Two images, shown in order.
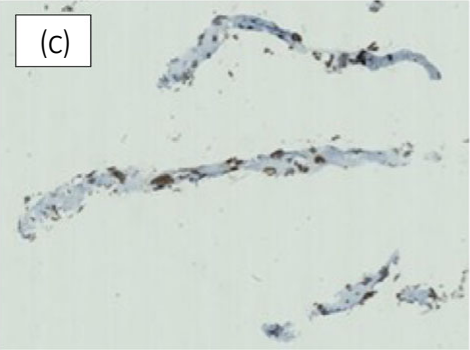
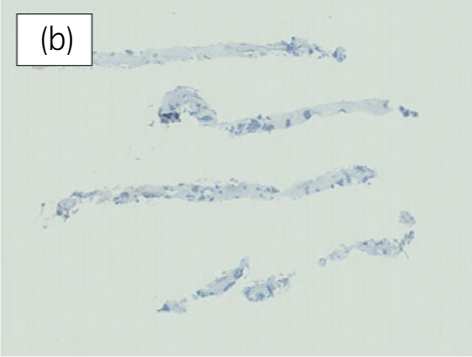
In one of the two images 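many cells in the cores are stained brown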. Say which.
The first image.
